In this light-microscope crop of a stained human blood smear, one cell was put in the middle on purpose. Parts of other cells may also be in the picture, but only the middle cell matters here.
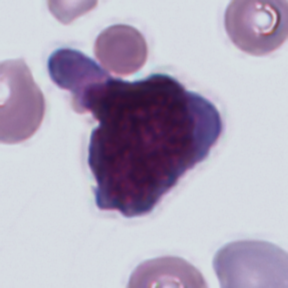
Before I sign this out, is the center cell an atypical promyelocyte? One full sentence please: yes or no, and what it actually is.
Yes, the cell in the middle is rightly called an atypical promyelocyte.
